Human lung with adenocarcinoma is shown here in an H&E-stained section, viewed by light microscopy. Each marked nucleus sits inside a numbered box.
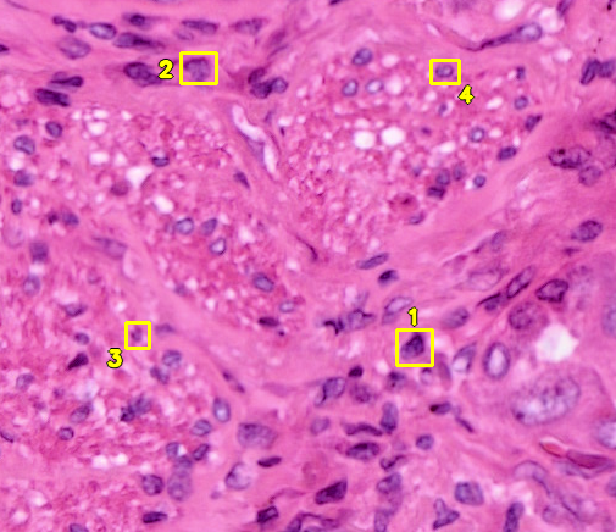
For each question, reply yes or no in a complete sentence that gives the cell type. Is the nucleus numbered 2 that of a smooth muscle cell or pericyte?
No, the cell indicated by 2 is a mast cell instead of a smooth muscle cell or pericyte.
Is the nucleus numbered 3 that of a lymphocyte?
No, cell 3 is not a lymphocyte; it is a smooth muscle cell or pericyte.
